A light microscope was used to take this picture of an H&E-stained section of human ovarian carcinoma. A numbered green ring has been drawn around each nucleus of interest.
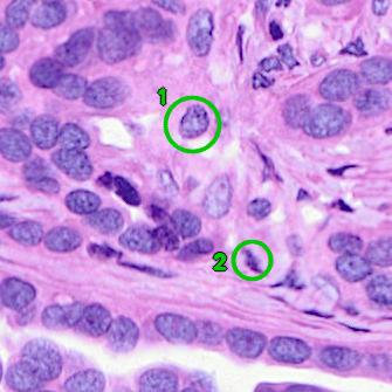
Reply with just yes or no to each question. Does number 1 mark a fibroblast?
no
